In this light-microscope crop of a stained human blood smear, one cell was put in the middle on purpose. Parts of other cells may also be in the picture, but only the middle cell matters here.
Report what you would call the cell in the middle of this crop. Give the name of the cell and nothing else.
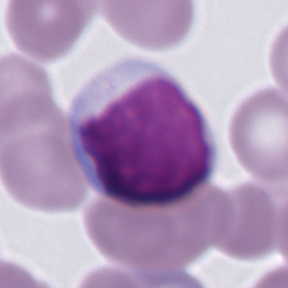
large granular lymphocyte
